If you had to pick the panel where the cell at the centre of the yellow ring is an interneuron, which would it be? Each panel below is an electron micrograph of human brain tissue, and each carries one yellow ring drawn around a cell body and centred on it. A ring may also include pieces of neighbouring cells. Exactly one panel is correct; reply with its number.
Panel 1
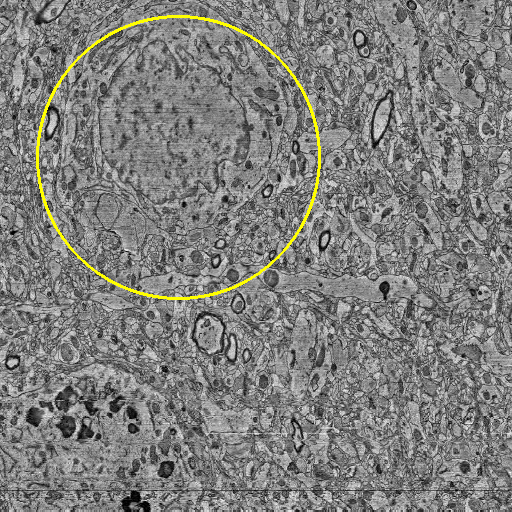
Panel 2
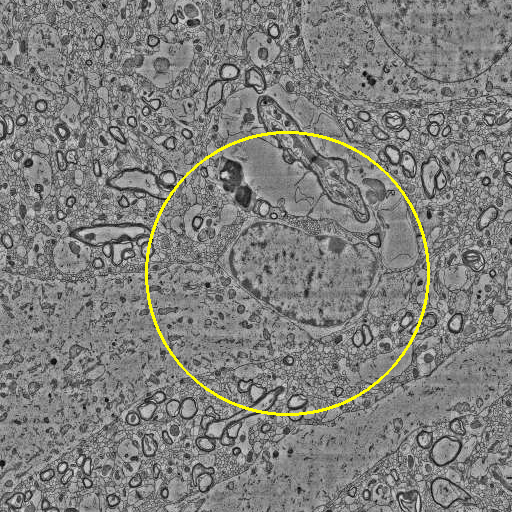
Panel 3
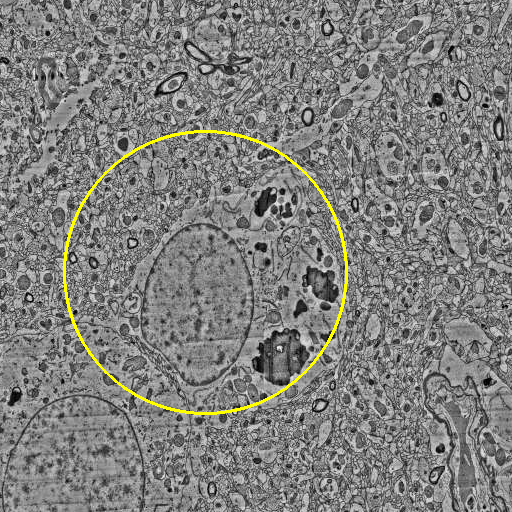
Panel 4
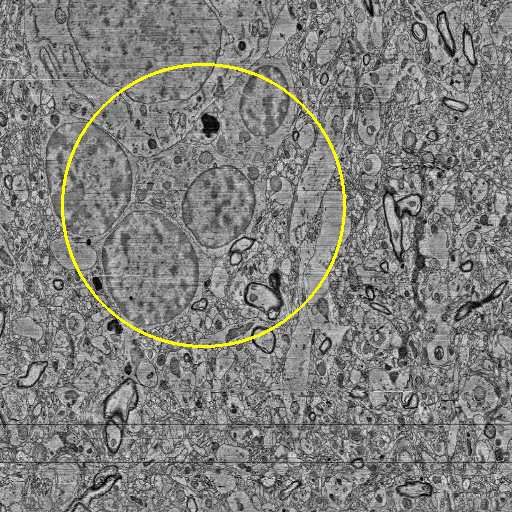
1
